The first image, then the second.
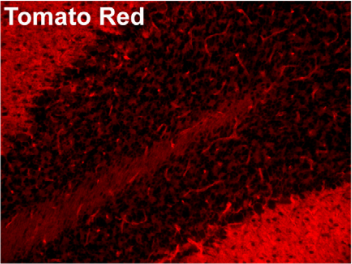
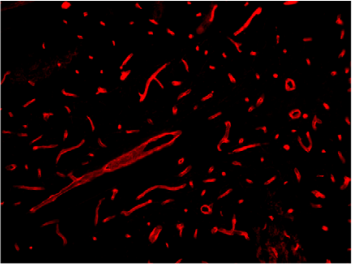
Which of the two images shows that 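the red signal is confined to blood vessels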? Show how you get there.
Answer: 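Second image: red appears only as discrete tubes and rings on a black background. First image: red fills the whole tissue in broad bands, with vessels only faintly visible within it.
Conclusion: the second image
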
